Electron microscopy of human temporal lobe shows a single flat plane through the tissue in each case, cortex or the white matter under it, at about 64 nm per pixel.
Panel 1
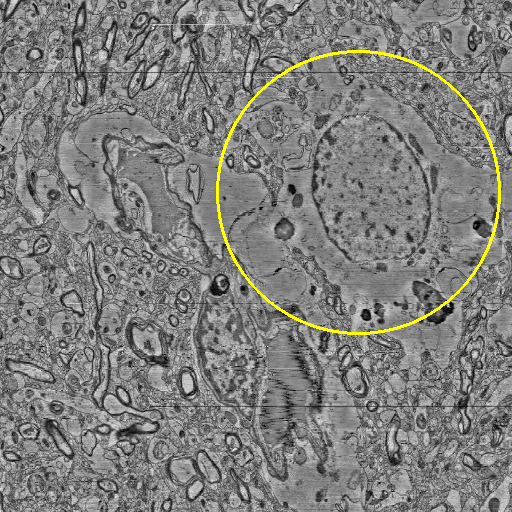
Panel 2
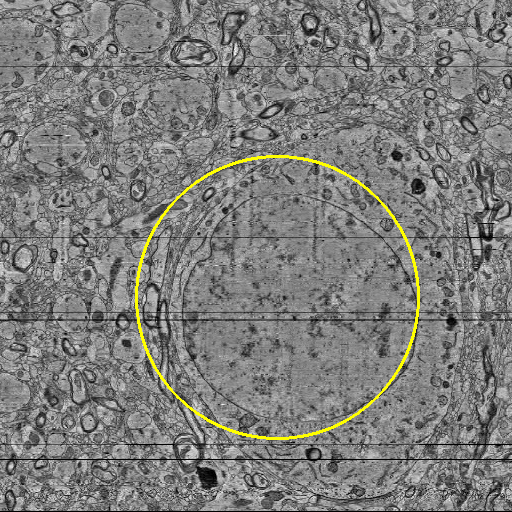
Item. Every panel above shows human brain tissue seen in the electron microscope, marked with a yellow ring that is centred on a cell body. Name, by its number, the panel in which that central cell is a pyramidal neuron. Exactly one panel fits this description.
2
